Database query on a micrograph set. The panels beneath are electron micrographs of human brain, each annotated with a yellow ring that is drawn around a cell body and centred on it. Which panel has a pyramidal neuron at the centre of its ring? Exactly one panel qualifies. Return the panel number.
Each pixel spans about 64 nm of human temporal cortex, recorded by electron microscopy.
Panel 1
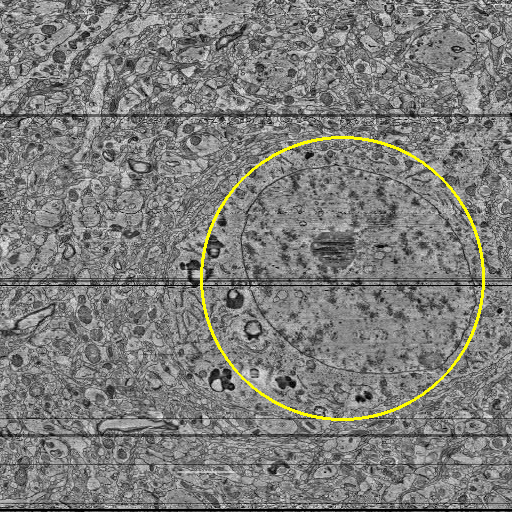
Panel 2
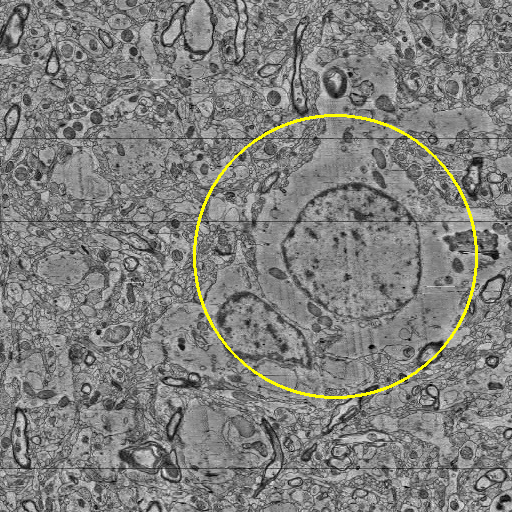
1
